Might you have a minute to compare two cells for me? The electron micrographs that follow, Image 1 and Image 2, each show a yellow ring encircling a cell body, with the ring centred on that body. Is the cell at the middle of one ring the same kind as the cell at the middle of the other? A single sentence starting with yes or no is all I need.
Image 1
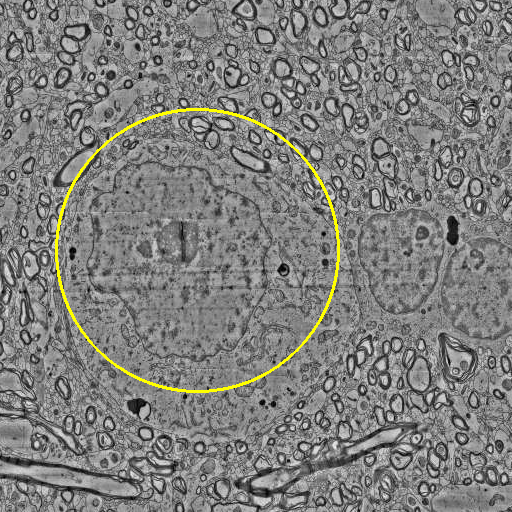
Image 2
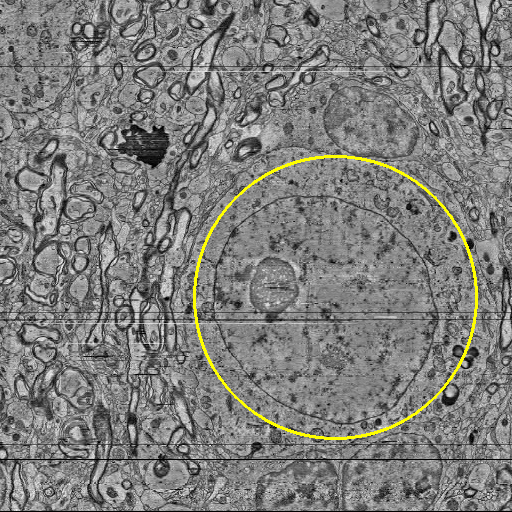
Yes, the cells in the middle of the two rings are of one shared kind.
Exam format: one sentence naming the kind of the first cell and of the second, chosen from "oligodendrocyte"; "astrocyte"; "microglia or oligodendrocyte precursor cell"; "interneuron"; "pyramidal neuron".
Each of the ringed cells, first and second, is a pyramidal neuron.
